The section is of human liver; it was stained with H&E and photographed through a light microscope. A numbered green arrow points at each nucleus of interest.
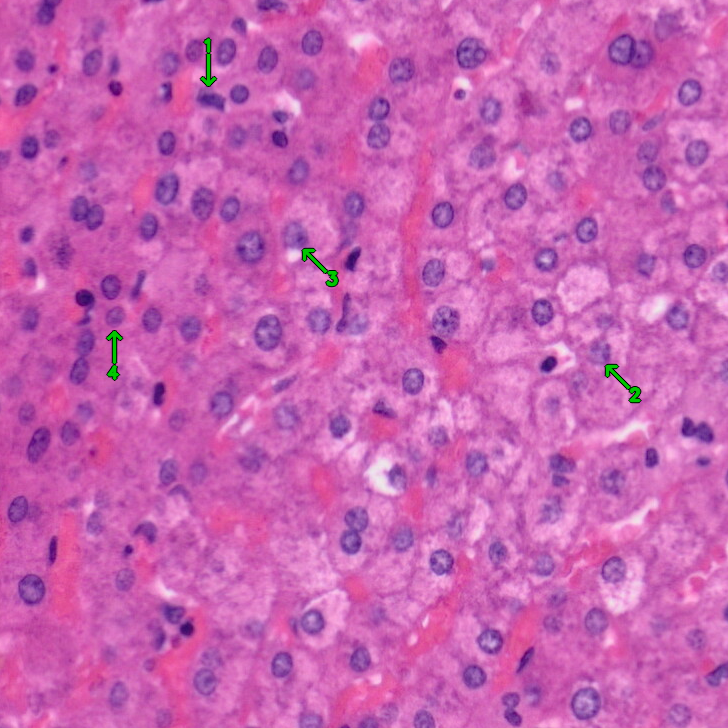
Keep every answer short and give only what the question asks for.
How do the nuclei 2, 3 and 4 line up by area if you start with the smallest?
4, 2, 3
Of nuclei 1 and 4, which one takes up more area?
1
